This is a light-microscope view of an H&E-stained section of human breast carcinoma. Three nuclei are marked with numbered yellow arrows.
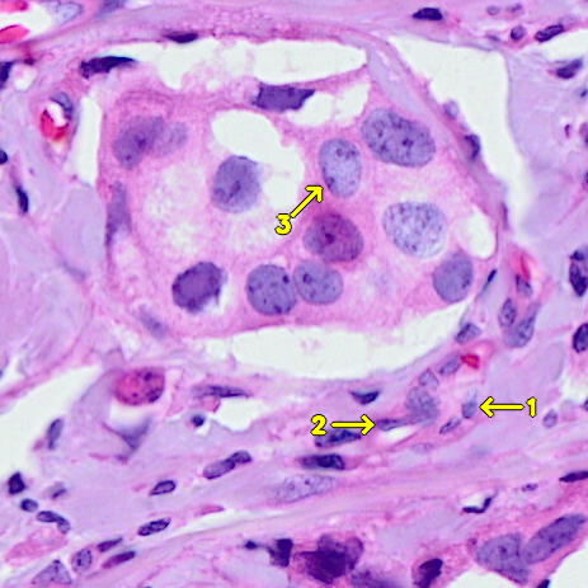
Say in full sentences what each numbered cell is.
Cell 1 is an endothelial cell, cell 2 is an endothelial cell and cell 3 is a carcinoma cell.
